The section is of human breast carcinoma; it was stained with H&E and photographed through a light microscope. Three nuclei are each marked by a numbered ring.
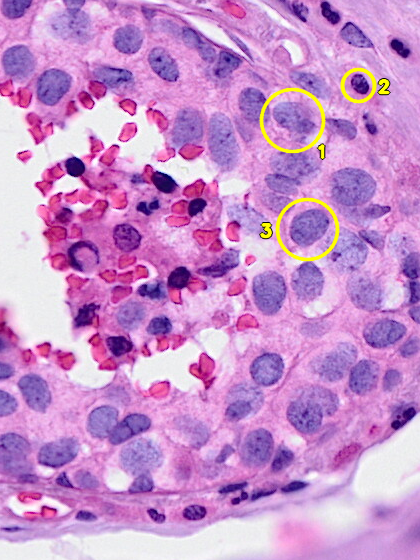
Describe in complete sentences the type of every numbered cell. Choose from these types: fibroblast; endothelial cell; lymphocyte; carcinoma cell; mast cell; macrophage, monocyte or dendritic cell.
Cells 1 and 3 are carcinoma cells. Cell 2 is a mast cell.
